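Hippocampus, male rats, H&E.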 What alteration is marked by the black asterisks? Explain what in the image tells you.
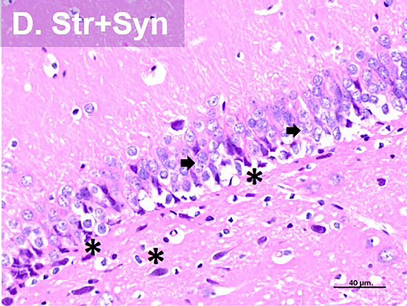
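Pyknotic nuclei. The asterisks lie beside small, darkly stained, condensed nuclei. These dark cells stand out against paler round nuclei in the same layer.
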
